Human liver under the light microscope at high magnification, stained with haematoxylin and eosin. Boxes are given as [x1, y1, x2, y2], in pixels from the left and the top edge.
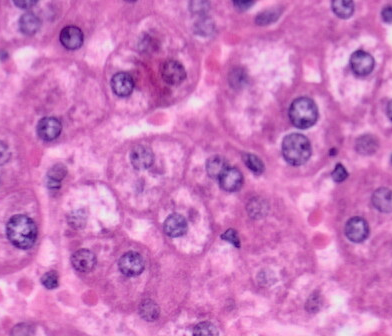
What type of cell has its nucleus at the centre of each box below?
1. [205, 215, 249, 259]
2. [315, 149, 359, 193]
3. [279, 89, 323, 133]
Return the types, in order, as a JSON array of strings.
["endothelial cell", "fibroblast or stellate cell", "hepatocyte"]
